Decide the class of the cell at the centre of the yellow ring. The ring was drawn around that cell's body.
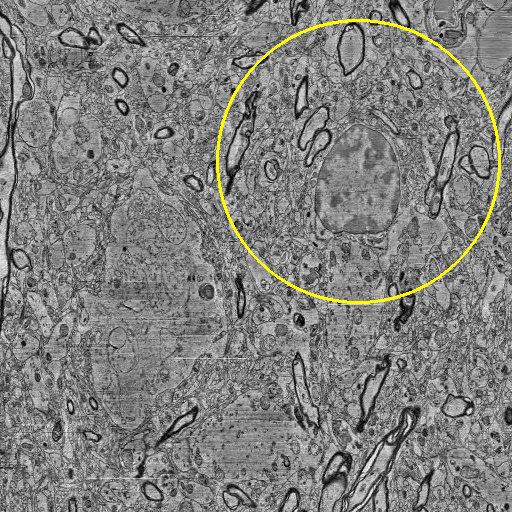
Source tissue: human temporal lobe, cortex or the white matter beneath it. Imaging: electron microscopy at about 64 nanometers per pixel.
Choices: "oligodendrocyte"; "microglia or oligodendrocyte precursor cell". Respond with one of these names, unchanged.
microglia or oligodendrocyte precursor cell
